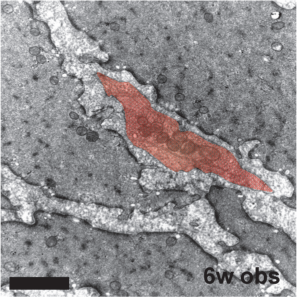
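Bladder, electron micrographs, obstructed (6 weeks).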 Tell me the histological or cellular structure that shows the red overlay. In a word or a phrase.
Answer: Neural varicosities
